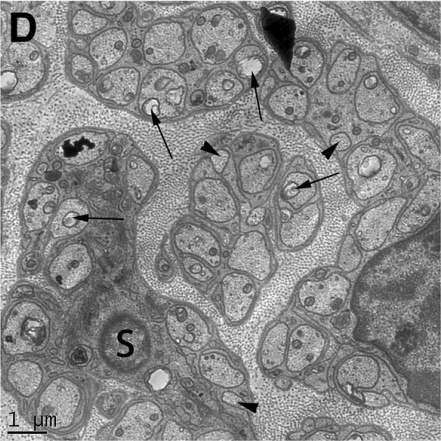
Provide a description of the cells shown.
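This is a cross section of a peripheral nerve composed mostly of unmyelinated axons grouped within Schwann cell units. Numerous small, round to polygonal axon profiles sit in bundles, each wrapped by thin Schwann cell cytoplasm. A Schwann cell nucleus is visible at the edge, and a dense cytoplasm-rich region lies to the left. Several axons contain cleared, empty vacuoles in place of intact mitochondria. Some extremely small axon profiles lie among normal-sized ones. Between the bundles the endoneurial space is wide and filled with a finely dotted texture of cross-cut collagen fibrils.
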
